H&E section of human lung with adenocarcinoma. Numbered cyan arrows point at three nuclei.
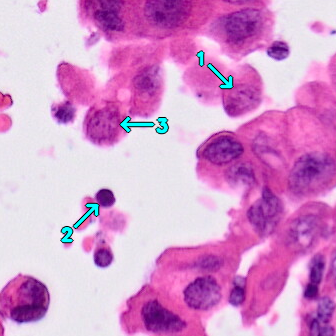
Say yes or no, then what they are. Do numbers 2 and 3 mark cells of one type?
No, cell number 2 is a lymphocyte, and cell number 3 is a carcinoma cell.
